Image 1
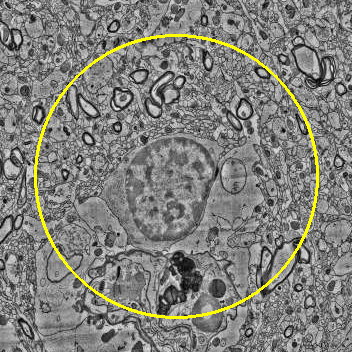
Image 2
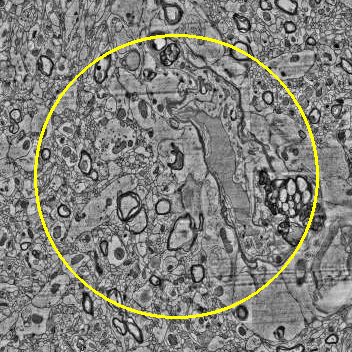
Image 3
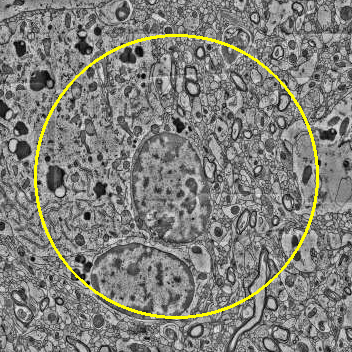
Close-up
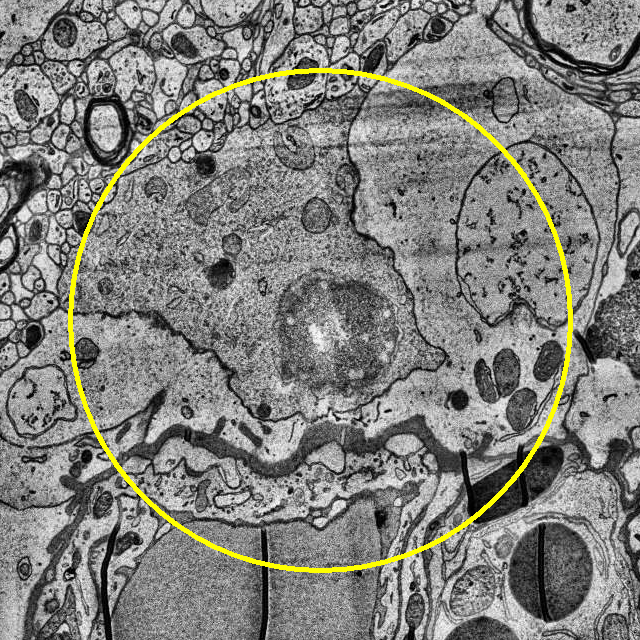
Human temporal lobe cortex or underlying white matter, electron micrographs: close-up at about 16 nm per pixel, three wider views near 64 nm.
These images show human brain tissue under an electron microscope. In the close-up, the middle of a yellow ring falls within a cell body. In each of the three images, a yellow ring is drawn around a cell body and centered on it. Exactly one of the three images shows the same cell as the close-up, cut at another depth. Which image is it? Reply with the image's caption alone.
Image 1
